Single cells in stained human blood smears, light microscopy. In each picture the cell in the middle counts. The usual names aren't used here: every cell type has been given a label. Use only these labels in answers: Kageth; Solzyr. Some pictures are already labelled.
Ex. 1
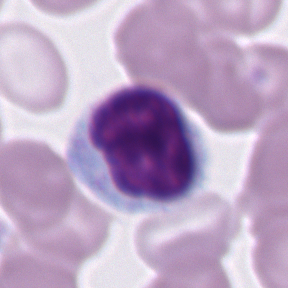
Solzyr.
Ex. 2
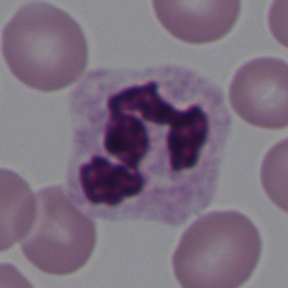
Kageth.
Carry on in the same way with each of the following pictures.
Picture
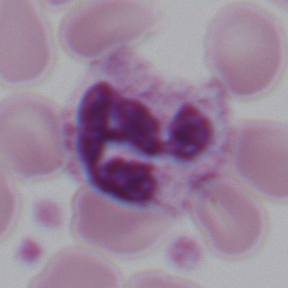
Kageth.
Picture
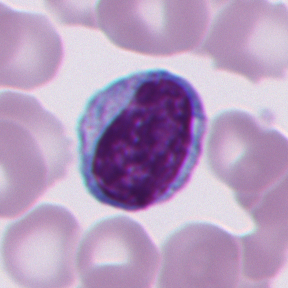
Solzyr.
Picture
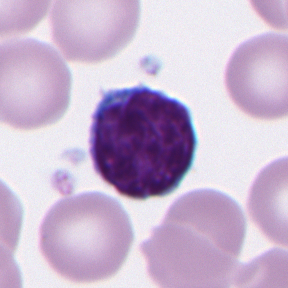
Solzyr.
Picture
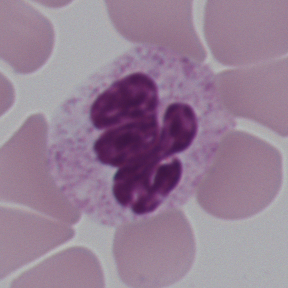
Kageth.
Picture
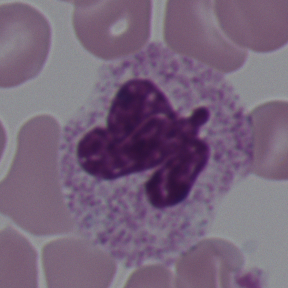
Kageth.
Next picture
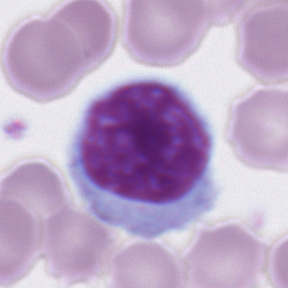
Solzyr.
